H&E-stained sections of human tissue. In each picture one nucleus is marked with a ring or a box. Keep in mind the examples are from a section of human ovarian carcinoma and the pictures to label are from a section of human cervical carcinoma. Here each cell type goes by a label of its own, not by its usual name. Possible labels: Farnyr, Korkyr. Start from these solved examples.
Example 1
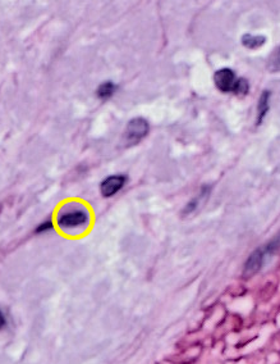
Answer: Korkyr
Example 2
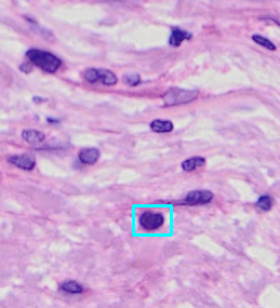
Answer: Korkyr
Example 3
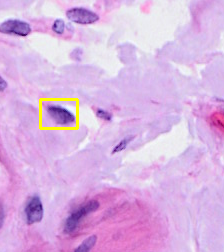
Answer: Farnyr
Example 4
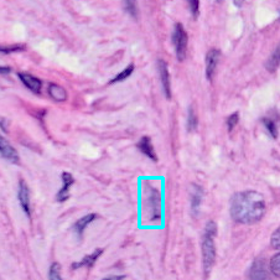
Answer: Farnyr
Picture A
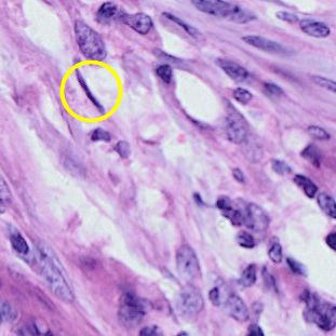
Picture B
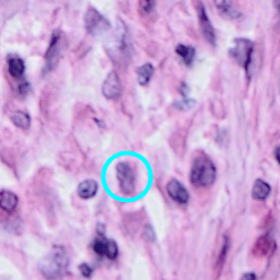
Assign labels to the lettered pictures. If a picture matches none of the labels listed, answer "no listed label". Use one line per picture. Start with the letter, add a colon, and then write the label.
A: Farnyr
B: no listed label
